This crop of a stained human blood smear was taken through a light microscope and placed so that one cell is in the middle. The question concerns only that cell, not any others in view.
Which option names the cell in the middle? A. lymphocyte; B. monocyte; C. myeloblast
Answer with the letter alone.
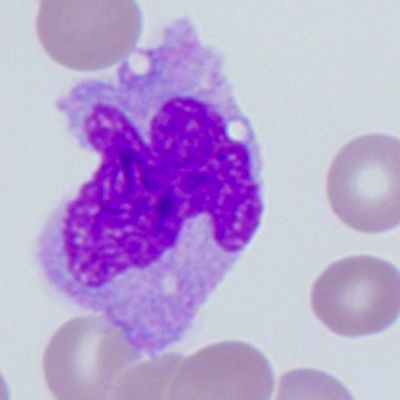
B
